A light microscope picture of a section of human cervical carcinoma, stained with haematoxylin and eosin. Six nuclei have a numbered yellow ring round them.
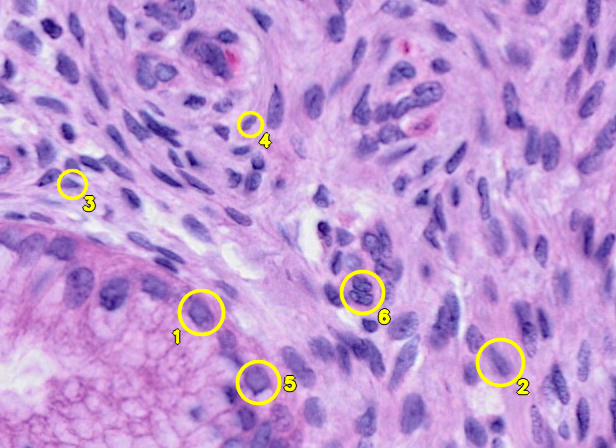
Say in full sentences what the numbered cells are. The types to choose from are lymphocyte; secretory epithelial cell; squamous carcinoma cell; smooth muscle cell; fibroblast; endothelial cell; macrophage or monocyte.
Cells 1 and 5 are secretory epithelial cells. Cells 2, 3 and 4 are fibroblasts. Cell 6 is an endothelial cell.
